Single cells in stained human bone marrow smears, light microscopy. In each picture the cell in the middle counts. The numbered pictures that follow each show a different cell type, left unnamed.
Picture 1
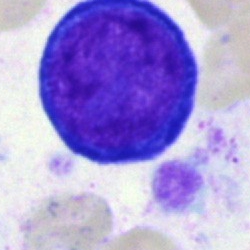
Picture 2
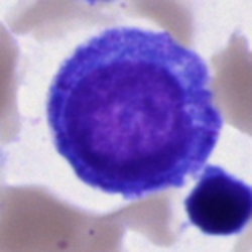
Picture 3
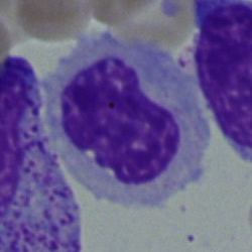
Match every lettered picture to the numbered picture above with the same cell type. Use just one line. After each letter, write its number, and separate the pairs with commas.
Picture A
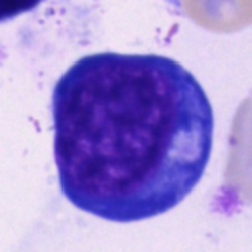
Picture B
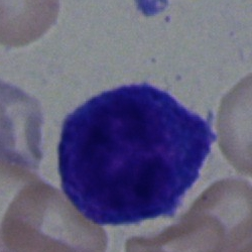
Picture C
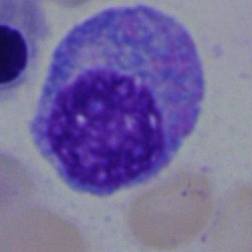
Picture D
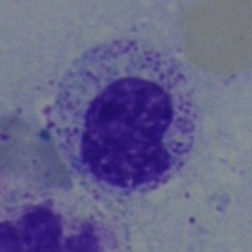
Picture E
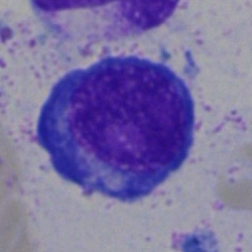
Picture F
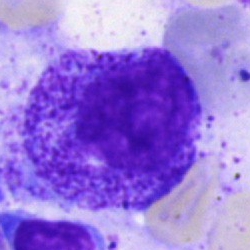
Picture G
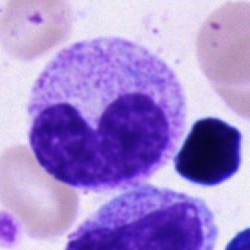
A 1, B 2, C 2, D 3, E 1, F 2, G 3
